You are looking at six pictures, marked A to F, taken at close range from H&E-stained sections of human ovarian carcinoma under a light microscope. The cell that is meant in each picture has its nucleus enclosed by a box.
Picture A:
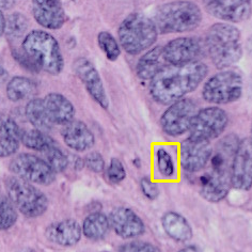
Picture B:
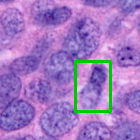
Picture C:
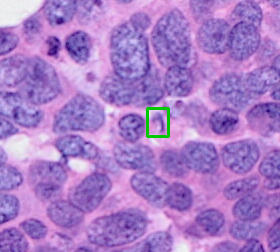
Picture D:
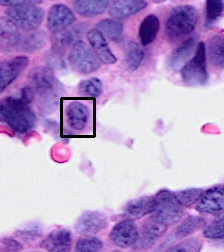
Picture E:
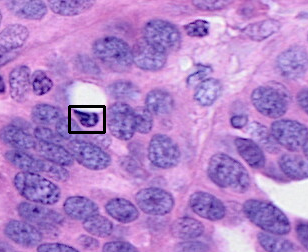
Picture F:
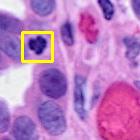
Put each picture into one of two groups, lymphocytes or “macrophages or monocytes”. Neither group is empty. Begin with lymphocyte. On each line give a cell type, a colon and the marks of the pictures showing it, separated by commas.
lymphocyte: A, E, F
macrophage or monocyte: B, C, D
